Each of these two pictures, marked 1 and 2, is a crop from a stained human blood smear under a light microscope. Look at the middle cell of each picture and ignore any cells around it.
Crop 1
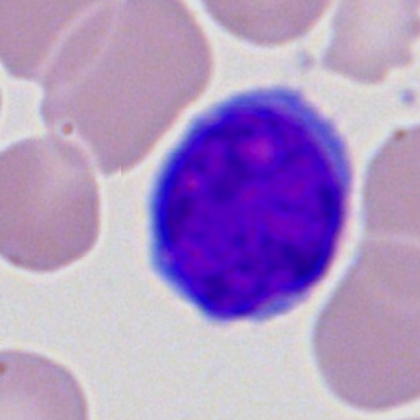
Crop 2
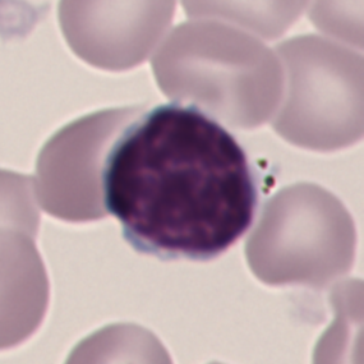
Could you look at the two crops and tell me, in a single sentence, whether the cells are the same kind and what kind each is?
Yes, both crops are centred on cells that are lymphocytes.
